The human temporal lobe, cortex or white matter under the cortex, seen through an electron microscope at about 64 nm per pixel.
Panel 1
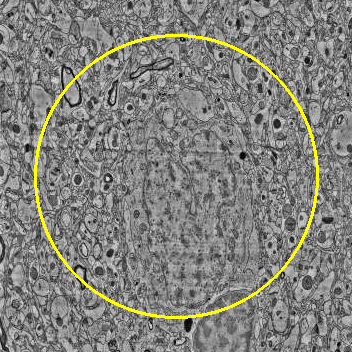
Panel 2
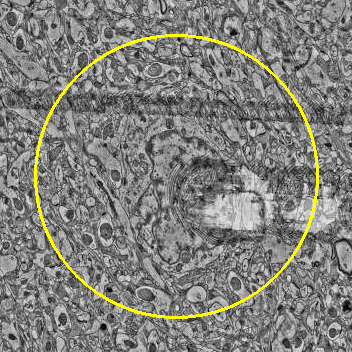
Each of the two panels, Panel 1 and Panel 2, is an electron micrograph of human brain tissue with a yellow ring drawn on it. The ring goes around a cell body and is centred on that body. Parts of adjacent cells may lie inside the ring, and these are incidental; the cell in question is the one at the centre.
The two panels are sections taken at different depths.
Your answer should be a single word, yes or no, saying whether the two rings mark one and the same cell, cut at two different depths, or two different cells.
no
